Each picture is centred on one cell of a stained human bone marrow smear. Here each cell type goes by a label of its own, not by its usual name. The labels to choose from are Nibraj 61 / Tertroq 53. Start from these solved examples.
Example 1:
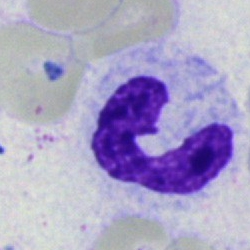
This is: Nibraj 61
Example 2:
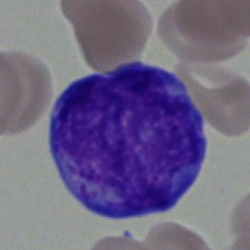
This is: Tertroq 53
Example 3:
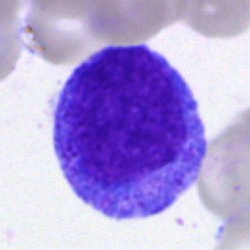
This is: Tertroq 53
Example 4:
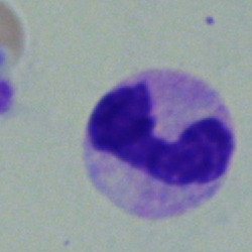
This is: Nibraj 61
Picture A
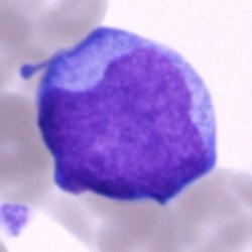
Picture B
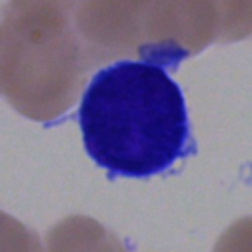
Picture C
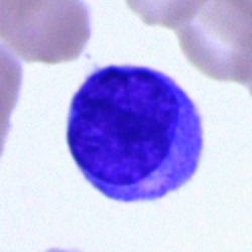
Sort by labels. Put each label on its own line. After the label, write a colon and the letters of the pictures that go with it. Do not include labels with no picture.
Tertroq 53: A, B, C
